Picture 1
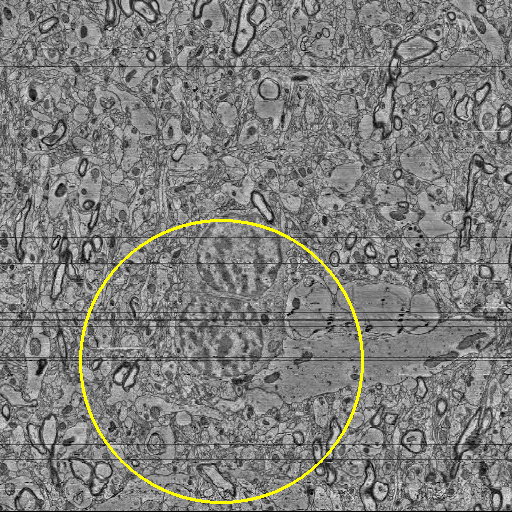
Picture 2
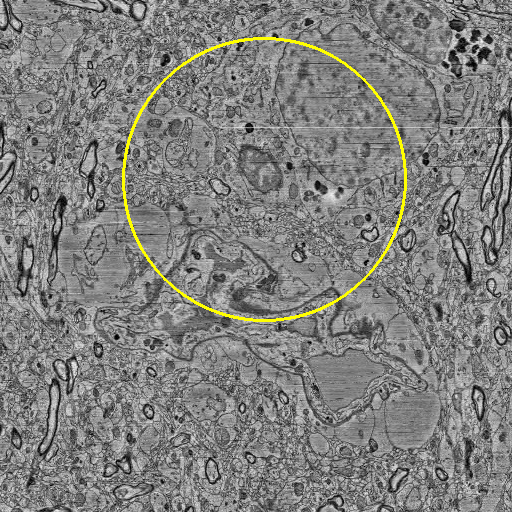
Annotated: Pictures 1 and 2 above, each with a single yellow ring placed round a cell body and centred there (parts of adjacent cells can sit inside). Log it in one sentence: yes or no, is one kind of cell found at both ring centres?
Yes, the ring centres of the two pictures hold cells of one kind.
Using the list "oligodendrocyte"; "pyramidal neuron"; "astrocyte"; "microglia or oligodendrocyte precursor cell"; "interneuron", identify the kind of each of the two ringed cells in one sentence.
Each of the ringed cells, first and second, is an oligodendrocyte.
